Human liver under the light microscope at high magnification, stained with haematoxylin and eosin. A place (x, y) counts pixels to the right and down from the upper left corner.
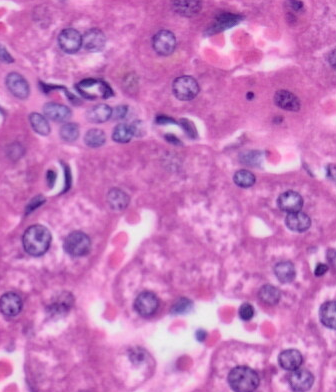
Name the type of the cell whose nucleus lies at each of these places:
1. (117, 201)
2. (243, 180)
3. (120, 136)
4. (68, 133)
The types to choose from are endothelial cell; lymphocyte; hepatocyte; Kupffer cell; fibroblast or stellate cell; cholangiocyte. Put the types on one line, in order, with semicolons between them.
hepatocyte; cholangiocyte; cholangiocyte; cholangiocyte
